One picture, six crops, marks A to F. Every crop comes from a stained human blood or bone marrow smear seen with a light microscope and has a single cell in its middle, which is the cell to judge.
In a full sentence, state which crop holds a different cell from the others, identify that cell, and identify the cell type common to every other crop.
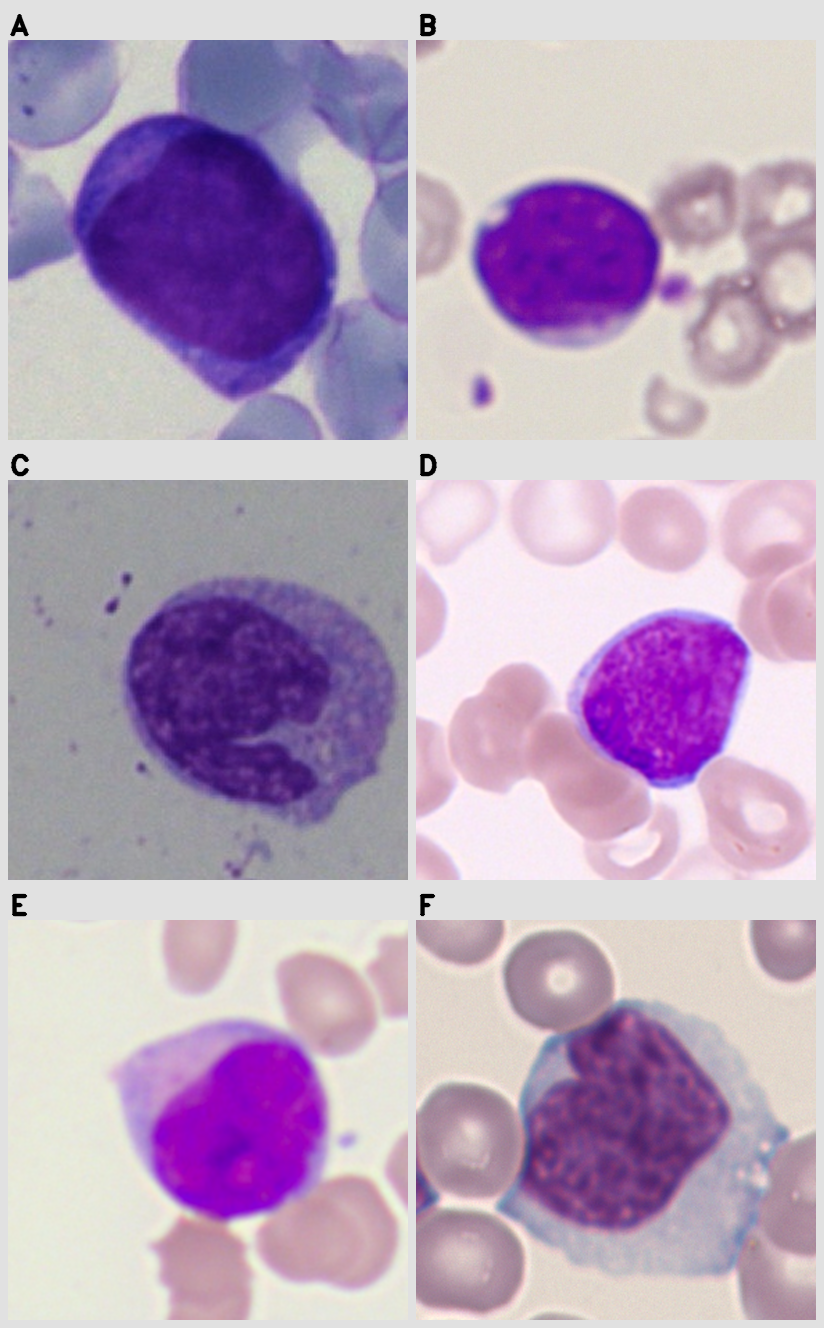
The exception in this group is crop C, a monocyte, and the others are all blasts.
